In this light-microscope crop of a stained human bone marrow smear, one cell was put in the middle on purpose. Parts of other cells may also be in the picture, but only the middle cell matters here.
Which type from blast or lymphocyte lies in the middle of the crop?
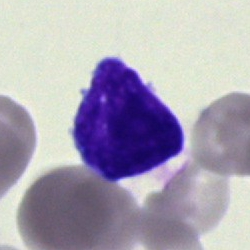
lymphocyte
